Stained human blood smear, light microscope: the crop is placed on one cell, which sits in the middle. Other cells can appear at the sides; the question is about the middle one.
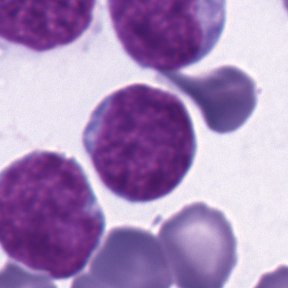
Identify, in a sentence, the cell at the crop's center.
The middle of this crop holds a myeloblast.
